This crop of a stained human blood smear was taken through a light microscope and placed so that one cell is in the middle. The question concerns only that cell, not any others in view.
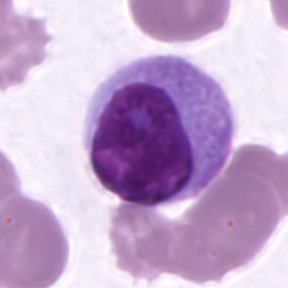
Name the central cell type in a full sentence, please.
The crop shows a plasma cell in its centre.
